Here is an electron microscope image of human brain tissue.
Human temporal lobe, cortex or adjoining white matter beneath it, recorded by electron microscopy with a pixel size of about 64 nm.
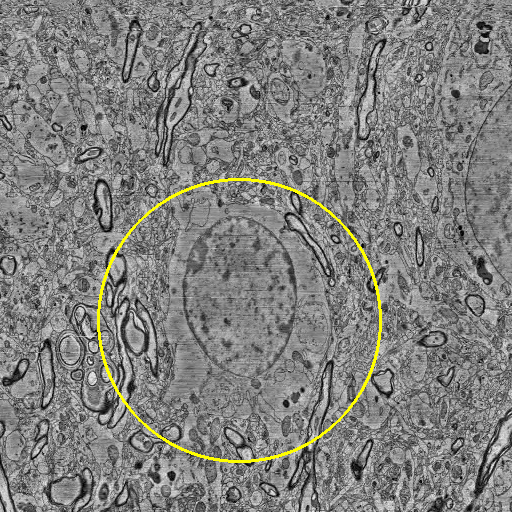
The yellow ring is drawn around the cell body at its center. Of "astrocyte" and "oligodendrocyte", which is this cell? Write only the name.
astrocyte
